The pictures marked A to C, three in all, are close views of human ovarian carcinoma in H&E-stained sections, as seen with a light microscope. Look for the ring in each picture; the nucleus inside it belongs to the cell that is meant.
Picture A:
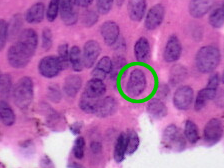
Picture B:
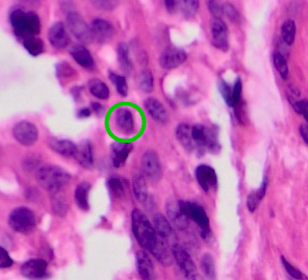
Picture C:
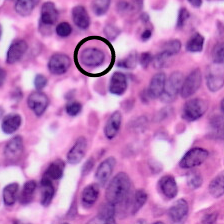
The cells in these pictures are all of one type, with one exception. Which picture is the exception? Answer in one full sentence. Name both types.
Picture A differs, because its cell is a carcinoma cell and the rest are “macrophages or monocytes”.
